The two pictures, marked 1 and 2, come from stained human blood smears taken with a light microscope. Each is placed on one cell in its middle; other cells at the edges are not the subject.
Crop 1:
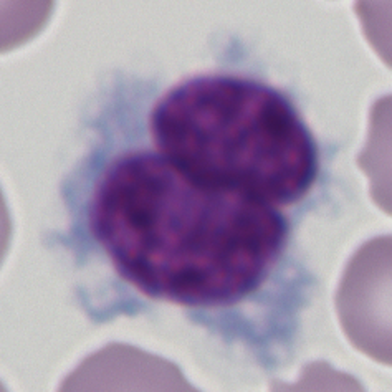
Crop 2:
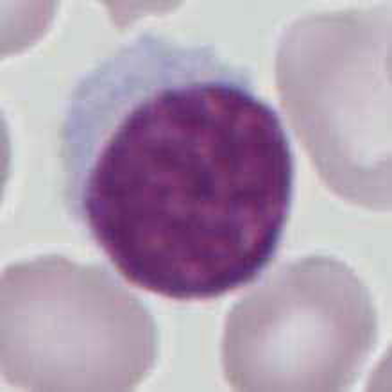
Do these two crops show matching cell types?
yes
